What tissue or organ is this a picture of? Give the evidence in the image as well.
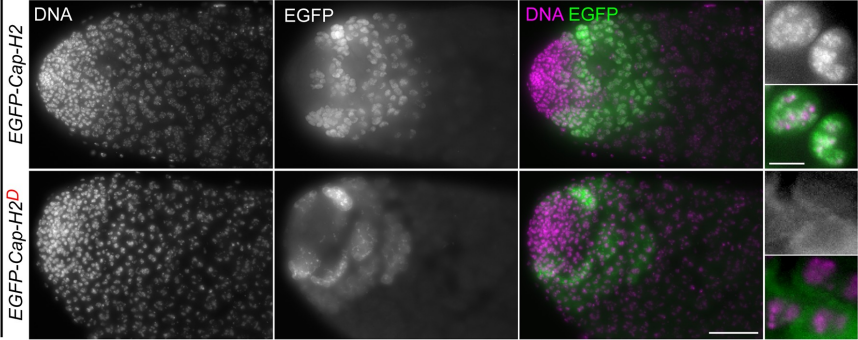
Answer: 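Testis tip regions. A rounded tip of an organ densely packed with small nuclei. Nuclei become larger and sparser away from the tip.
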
